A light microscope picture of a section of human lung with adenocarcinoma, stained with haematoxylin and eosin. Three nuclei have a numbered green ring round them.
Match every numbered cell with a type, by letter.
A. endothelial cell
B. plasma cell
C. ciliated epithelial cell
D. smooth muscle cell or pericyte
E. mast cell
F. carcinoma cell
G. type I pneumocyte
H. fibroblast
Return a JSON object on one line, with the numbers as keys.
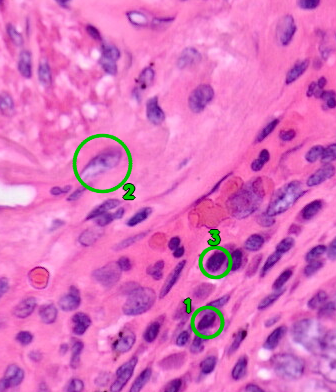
{"1": "B", "2": "A", "3": "B"}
